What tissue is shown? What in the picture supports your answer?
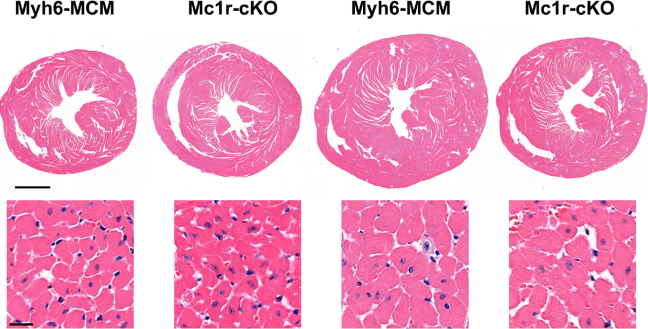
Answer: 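Heart. Upper images show rounded whole-organ cross-sections with a thick muscular wall around a central chamber. A thinner crescent-shaped wall lies to one side of the thick ring. Lower images show tightly packed pink muscle fibres cut in cross-section.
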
